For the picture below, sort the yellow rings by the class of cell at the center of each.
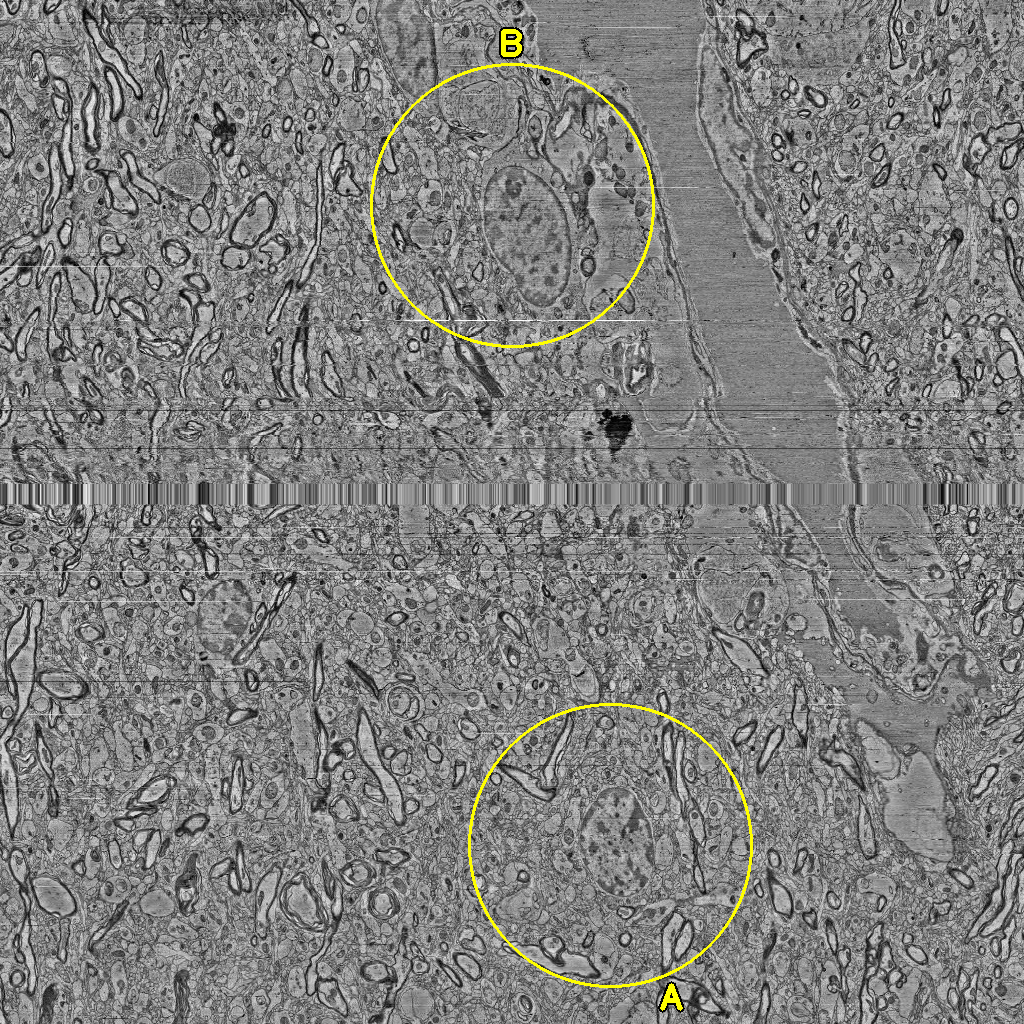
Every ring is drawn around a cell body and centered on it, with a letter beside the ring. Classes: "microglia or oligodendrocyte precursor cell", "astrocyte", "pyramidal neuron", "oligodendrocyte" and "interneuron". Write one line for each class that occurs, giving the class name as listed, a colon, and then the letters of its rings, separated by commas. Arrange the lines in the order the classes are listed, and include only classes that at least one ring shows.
microglia or oligodendrocyte precursor cell: A
oligodendrocyte: B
